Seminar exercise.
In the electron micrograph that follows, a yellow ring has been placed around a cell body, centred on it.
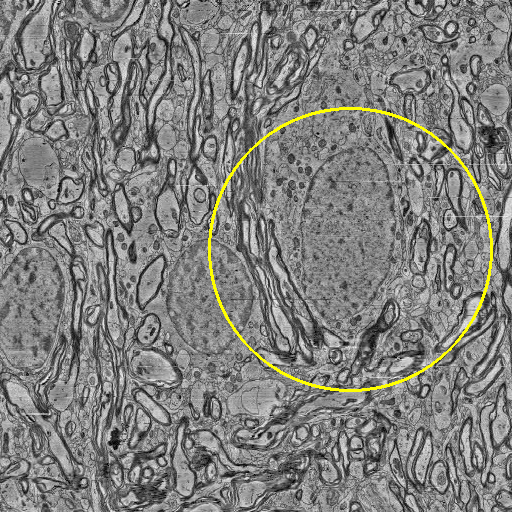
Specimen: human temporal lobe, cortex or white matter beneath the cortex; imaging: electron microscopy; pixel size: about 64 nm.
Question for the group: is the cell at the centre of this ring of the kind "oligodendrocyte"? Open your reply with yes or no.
No, the cell in the ring's centre is of another kind.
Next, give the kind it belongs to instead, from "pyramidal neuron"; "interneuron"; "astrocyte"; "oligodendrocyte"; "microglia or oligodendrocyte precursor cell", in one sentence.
Instead, what sits at the centre of the ring is an astrocyte.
